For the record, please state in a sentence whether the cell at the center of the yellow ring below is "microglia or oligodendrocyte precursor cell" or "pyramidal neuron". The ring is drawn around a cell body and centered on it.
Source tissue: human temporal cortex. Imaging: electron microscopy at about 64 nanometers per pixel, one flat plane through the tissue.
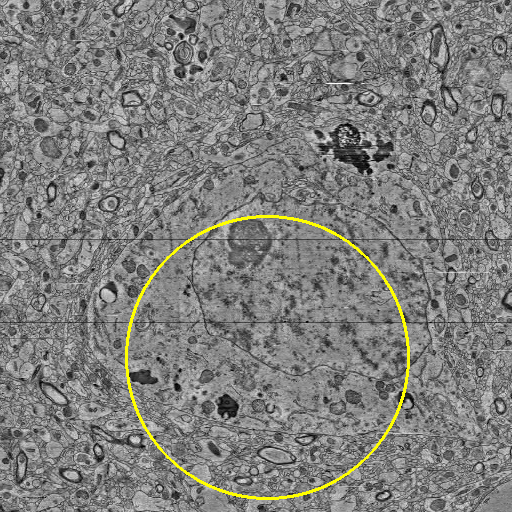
The cell at the ring's center is a pyramidal neuron.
